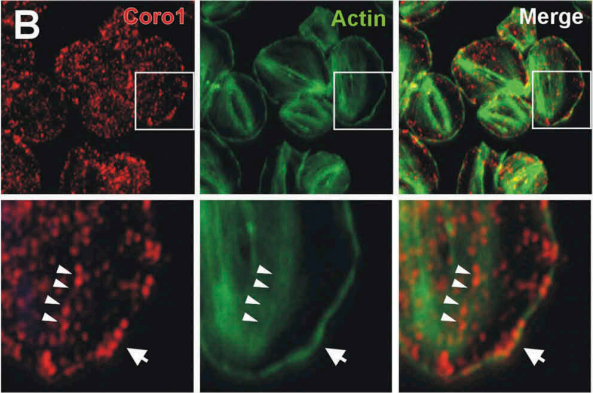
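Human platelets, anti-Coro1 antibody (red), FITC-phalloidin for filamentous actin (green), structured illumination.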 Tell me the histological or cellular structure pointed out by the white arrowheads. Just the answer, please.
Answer: Stress fibers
